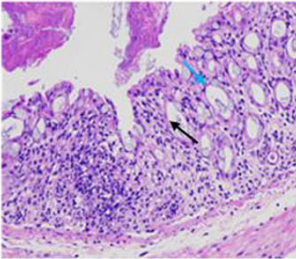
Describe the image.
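Between the crypts the mucosa is crowded with many small dark purple nuclei of infiltrating inflammatory cells, so the glands look pushed apart and irregular. The surface epithelium is broken in places, with loose debris lying in the lumen above.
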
